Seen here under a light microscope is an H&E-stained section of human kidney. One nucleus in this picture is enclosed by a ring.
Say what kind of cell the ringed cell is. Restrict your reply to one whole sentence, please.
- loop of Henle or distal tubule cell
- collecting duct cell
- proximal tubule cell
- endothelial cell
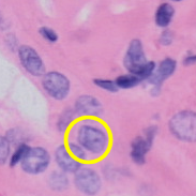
Labelled by cell type, the ringed cell is a collecting duct cell.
